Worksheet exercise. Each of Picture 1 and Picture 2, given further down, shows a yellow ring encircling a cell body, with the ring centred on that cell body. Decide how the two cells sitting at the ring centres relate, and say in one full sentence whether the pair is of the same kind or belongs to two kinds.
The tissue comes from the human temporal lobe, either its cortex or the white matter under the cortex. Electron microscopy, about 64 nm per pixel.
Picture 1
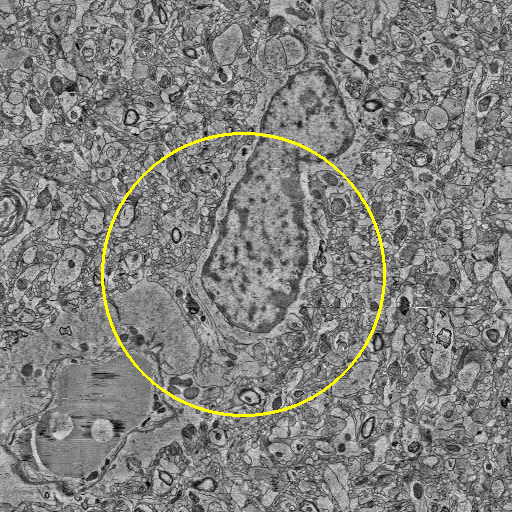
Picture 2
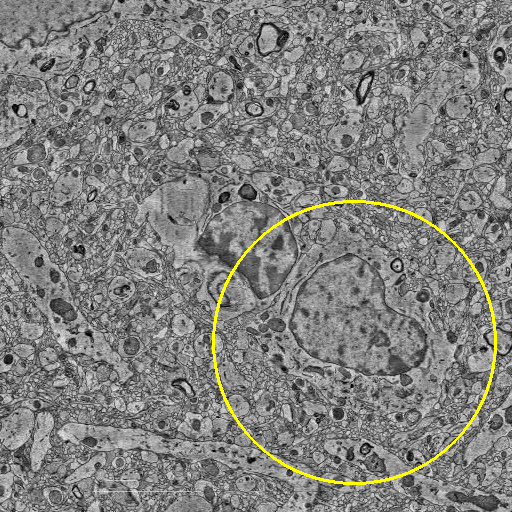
The cells at the ring centres in Picture 1 and Picture 2 are of the same kind.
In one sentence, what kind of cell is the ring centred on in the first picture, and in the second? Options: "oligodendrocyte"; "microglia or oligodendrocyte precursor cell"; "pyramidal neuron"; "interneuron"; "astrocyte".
Both cells are the same kind, each one being a microglial cell or oligodendrocyte precursor cell.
